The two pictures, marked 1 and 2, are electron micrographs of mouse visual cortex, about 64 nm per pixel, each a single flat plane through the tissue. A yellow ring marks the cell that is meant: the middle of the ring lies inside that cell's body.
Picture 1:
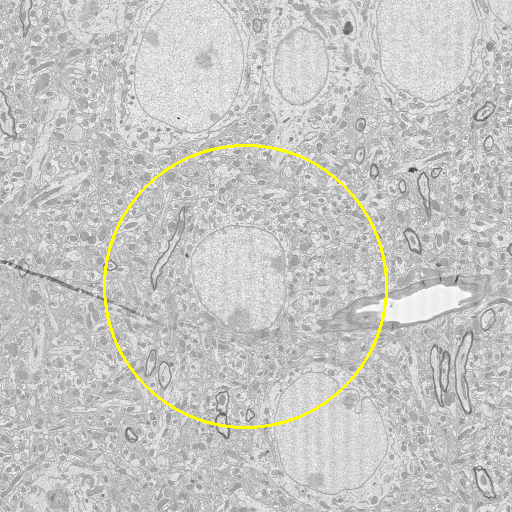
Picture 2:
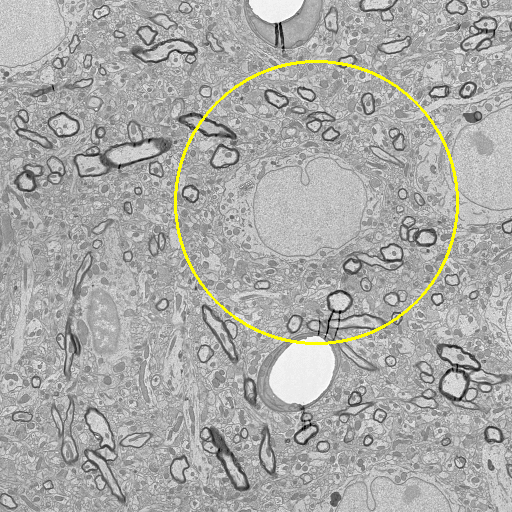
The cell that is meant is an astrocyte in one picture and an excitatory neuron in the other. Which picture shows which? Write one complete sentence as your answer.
The cell in picture 1 is an astrocyte, and the one in picture 2 is an excitatory neuron.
